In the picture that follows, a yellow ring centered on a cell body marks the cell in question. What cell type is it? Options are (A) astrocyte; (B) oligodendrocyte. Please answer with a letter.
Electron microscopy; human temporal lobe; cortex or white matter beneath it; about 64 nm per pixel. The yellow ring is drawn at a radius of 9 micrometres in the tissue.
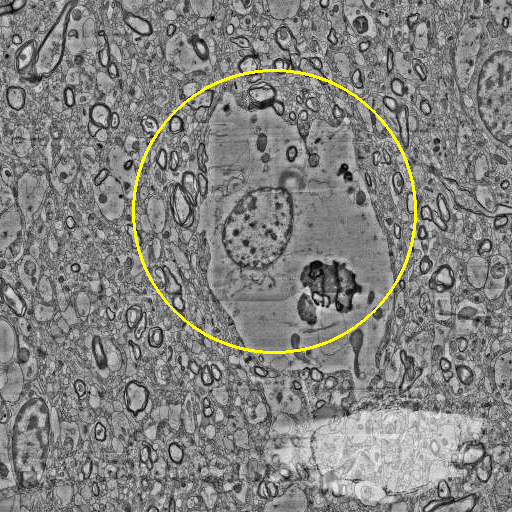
A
